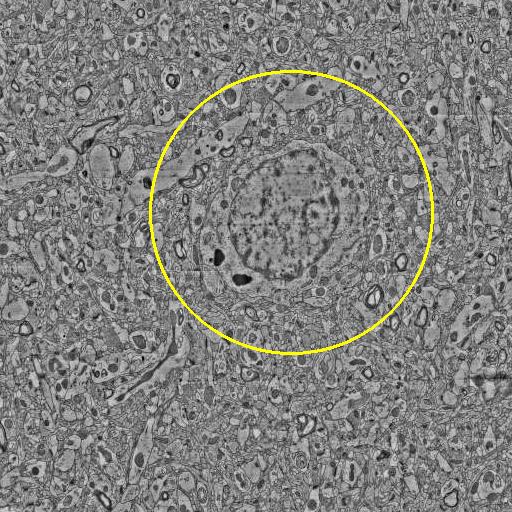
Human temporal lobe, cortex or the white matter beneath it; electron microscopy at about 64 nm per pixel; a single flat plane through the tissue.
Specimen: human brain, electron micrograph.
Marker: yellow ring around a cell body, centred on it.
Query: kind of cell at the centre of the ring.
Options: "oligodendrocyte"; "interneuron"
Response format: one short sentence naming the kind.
This cell body belongs to an interneuron.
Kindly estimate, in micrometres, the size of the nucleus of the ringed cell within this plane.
The nucleus comes to roughly 8 by 7 micrometres in this plane.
